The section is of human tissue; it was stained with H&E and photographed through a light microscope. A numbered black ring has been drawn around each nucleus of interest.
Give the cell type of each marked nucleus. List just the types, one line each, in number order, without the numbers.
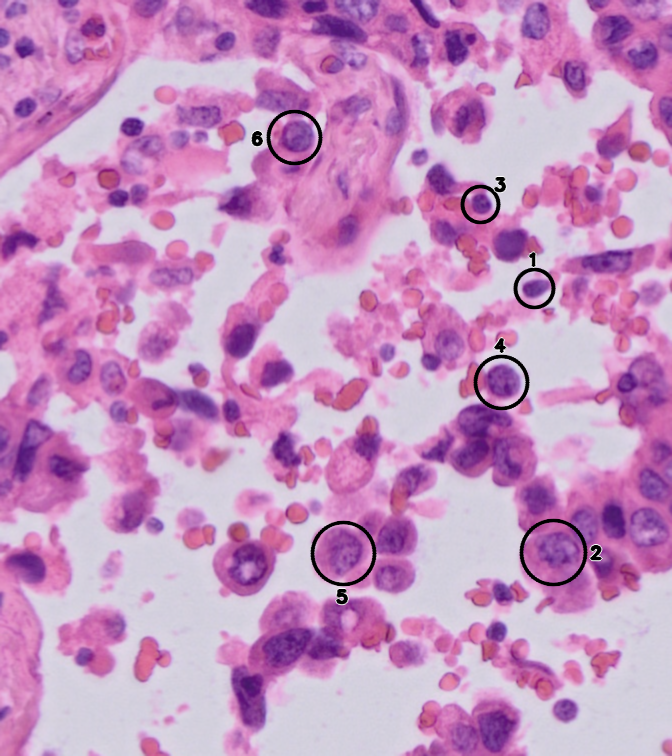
lymphocyte
carcinoma cell
lymphocyte
carcinoma cell
carcinoma cell
carcinoma cell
